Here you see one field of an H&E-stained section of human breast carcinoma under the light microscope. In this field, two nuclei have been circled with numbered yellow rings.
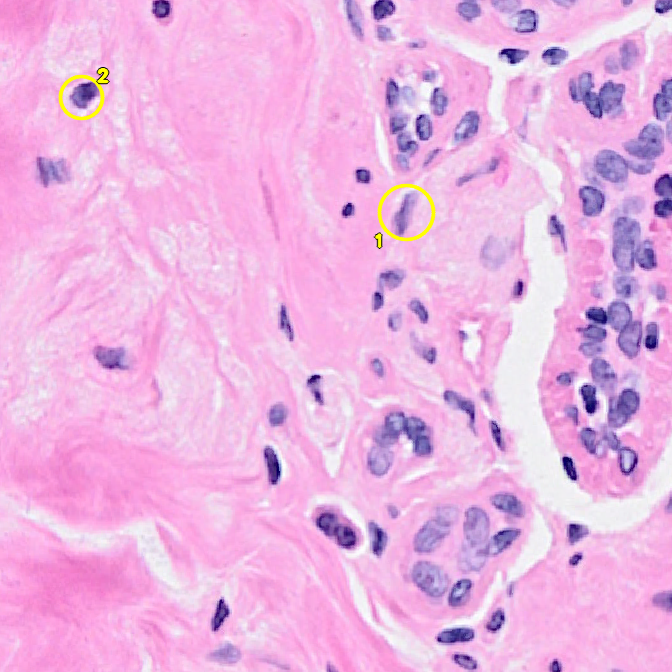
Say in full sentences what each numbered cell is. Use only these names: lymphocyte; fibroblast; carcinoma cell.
Cell 1 is a fibroblast. Cell 2 is a lymphocyte.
